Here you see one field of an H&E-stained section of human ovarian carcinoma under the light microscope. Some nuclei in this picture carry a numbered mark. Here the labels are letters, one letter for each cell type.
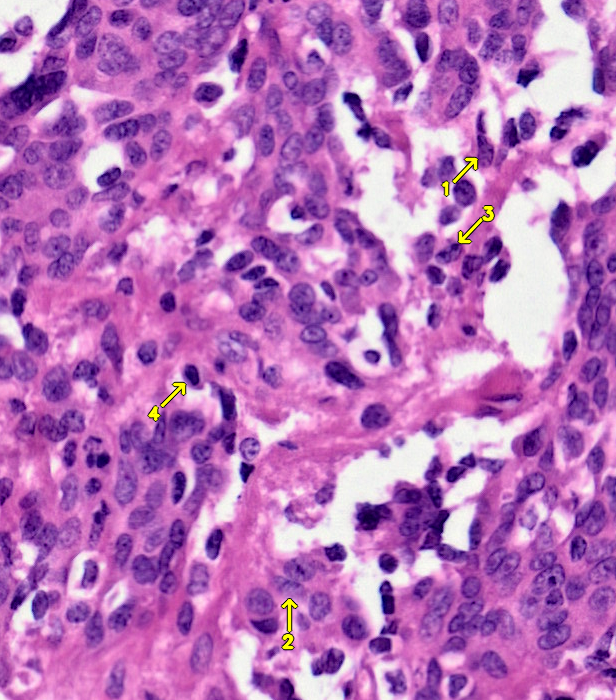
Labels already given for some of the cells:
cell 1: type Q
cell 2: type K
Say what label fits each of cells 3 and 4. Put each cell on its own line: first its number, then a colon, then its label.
3: type Q
4: type Q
